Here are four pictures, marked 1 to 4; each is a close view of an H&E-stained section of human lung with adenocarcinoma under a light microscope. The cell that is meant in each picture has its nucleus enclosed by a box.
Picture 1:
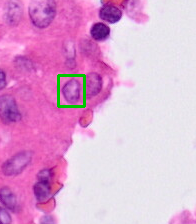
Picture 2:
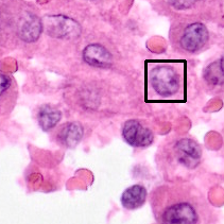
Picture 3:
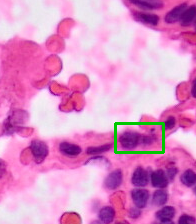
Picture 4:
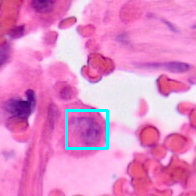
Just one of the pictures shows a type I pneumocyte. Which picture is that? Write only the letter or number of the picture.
3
